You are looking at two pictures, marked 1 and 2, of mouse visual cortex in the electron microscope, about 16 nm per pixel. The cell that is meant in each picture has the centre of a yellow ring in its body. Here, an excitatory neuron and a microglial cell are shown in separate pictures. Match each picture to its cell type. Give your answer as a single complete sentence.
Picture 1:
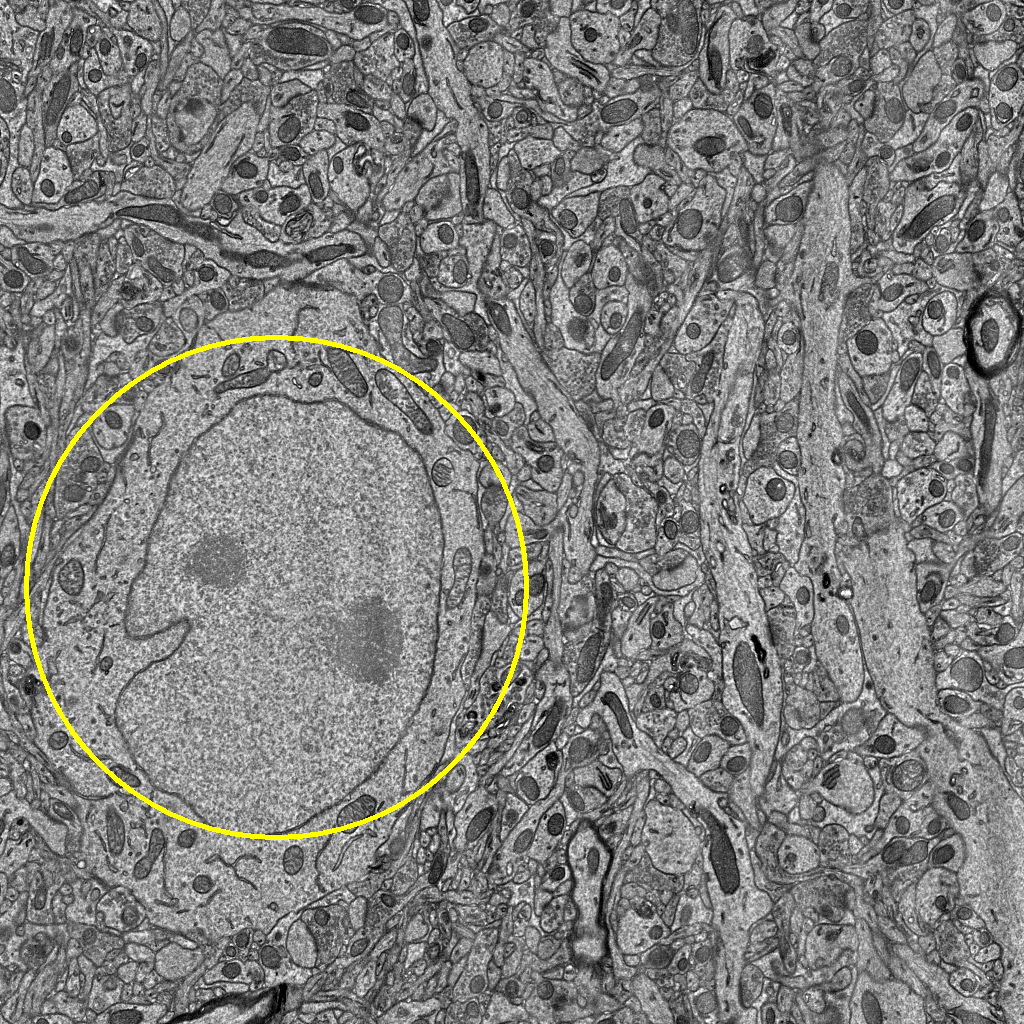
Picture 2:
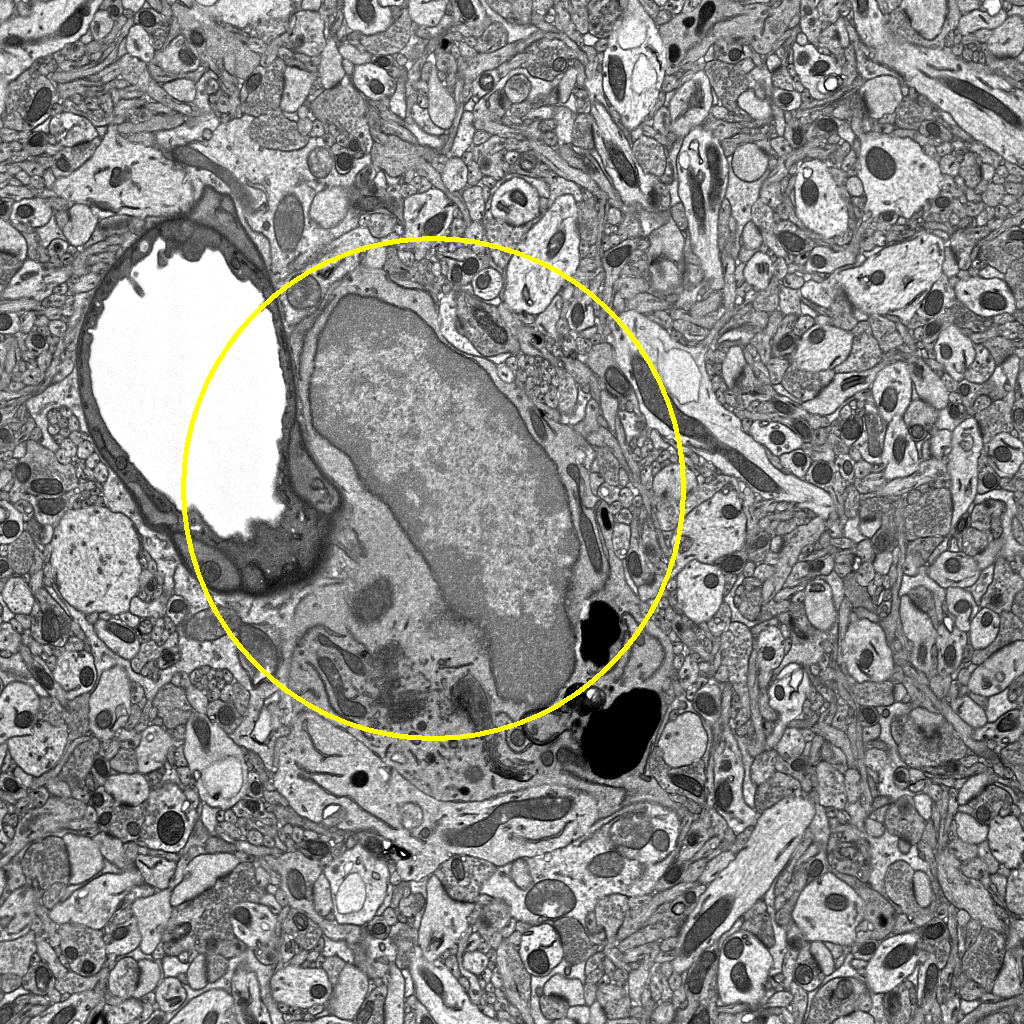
Picture 2 shows a microglial cell, while picture 1 shows an excitatory neuron.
